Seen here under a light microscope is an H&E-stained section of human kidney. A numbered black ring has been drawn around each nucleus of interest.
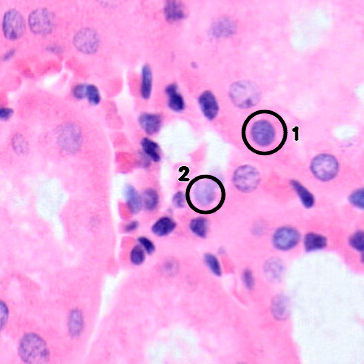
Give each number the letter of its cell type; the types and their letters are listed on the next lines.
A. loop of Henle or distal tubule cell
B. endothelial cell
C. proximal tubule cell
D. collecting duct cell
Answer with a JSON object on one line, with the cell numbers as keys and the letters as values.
{"1": "C", "2": "A"}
